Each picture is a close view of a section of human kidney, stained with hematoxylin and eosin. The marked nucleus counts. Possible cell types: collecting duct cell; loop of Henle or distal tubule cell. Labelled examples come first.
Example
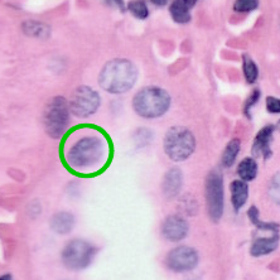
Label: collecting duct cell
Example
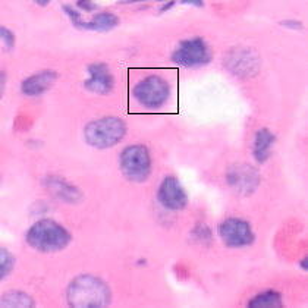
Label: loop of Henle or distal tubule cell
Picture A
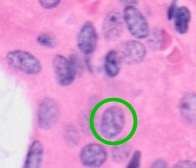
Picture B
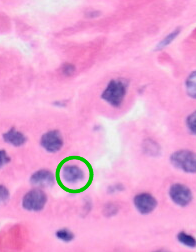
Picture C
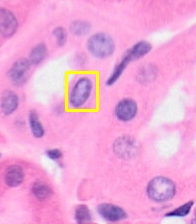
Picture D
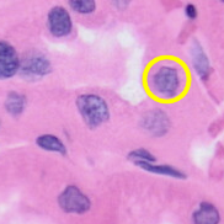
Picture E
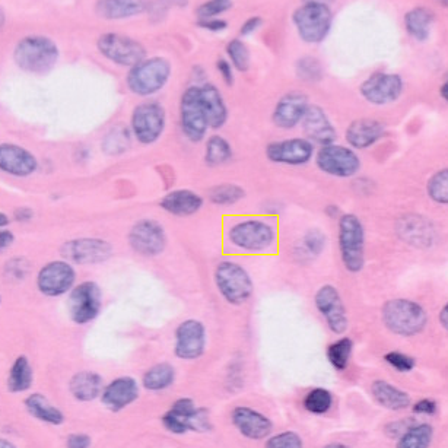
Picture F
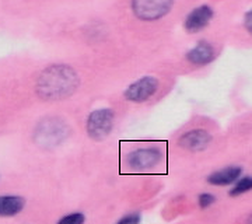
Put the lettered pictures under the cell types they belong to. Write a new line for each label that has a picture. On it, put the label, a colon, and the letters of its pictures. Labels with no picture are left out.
collecting duct cell: A, C, E
loop of Henle or distal tubule cell: B, D, F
